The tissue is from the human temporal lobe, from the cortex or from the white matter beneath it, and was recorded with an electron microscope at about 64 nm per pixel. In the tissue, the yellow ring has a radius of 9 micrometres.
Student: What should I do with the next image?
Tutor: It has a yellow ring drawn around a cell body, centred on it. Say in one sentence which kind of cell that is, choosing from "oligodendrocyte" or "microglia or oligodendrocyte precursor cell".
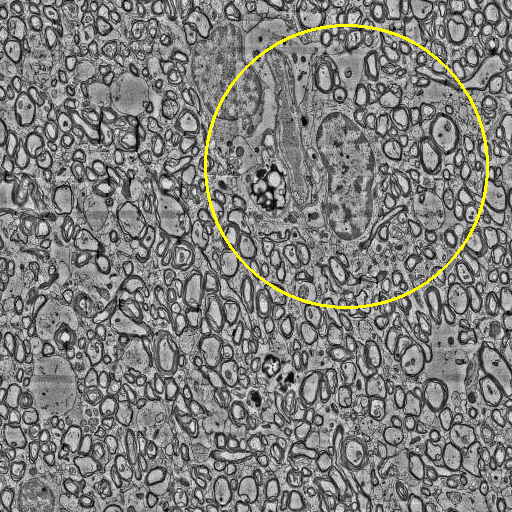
The ring's centre is occupied by a microglial cell or oligodendrocyte precursor cell.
